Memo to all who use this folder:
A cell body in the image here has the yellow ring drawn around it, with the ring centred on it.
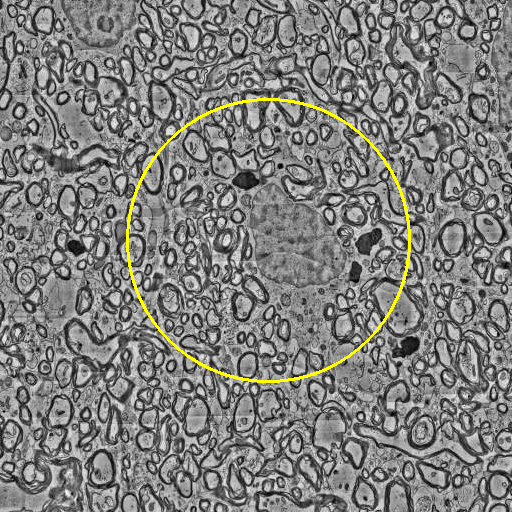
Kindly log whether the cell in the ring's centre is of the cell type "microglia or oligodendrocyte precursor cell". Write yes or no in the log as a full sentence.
No, logged: the ring in this image is centred on a cell of a different type.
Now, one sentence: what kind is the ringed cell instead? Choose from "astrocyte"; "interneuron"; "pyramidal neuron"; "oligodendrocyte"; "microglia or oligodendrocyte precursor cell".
The ring holds an oligodendrocyte at its centre.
